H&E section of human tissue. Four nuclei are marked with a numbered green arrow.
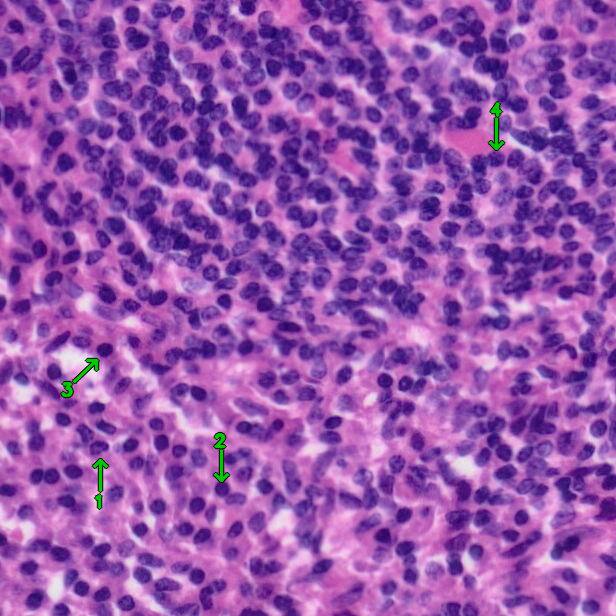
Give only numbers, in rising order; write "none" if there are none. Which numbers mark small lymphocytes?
4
